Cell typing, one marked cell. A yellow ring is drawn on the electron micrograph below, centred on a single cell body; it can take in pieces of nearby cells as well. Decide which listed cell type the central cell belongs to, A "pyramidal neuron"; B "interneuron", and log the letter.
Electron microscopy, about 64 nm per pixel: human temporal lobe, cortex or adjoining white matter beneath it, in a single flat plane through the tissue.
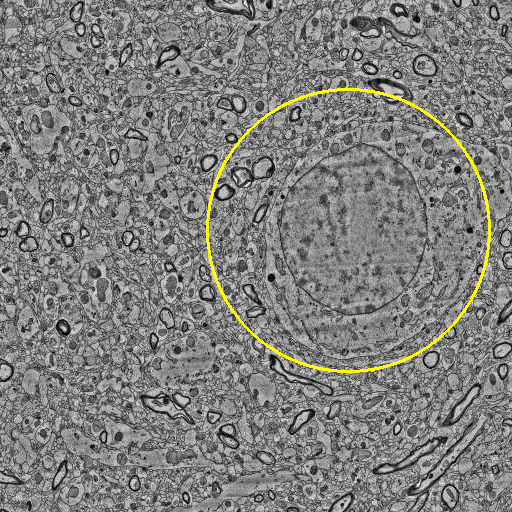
A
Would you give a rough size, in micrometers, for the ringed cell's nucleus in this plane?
The ringed cell's nucleus measures approximately 11 by 10 micrometres in this plane.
